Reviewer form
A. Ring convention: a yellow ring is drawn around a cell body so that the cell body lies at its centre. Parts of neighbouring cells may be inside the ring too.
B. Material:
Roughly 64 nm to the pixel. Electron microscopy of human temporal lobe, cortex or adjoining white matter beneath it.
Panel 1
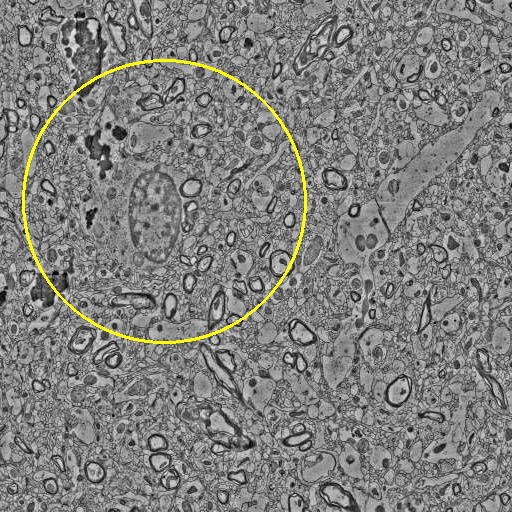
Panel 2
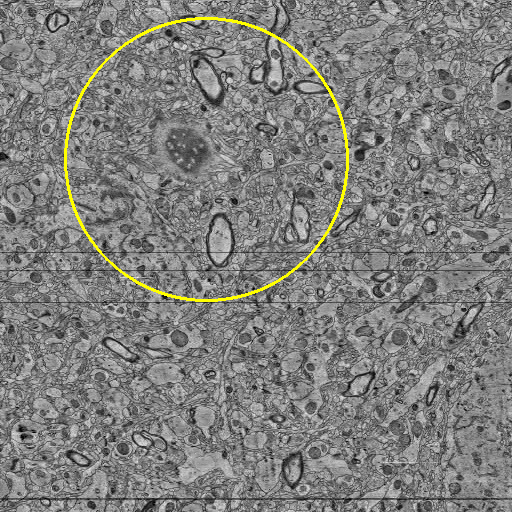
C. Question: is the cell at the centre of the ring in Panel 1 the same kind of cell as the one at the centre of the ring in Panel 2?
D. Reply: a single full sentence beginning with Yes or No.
Yes, the cells in Panel 1 and Panel 2 are the same kind of cell.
